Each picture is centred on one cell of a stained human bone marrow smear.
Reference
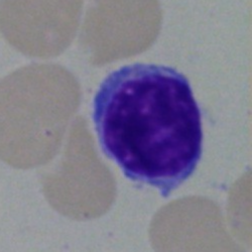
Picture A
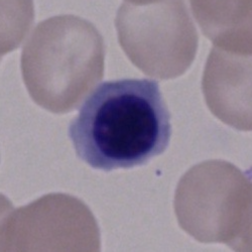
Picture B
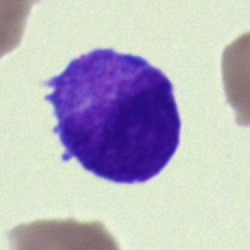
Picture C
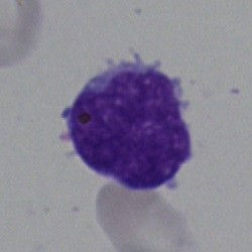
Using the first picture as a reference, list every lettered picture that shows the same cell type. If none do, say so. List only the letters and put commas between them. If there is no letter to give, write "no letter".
no letter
